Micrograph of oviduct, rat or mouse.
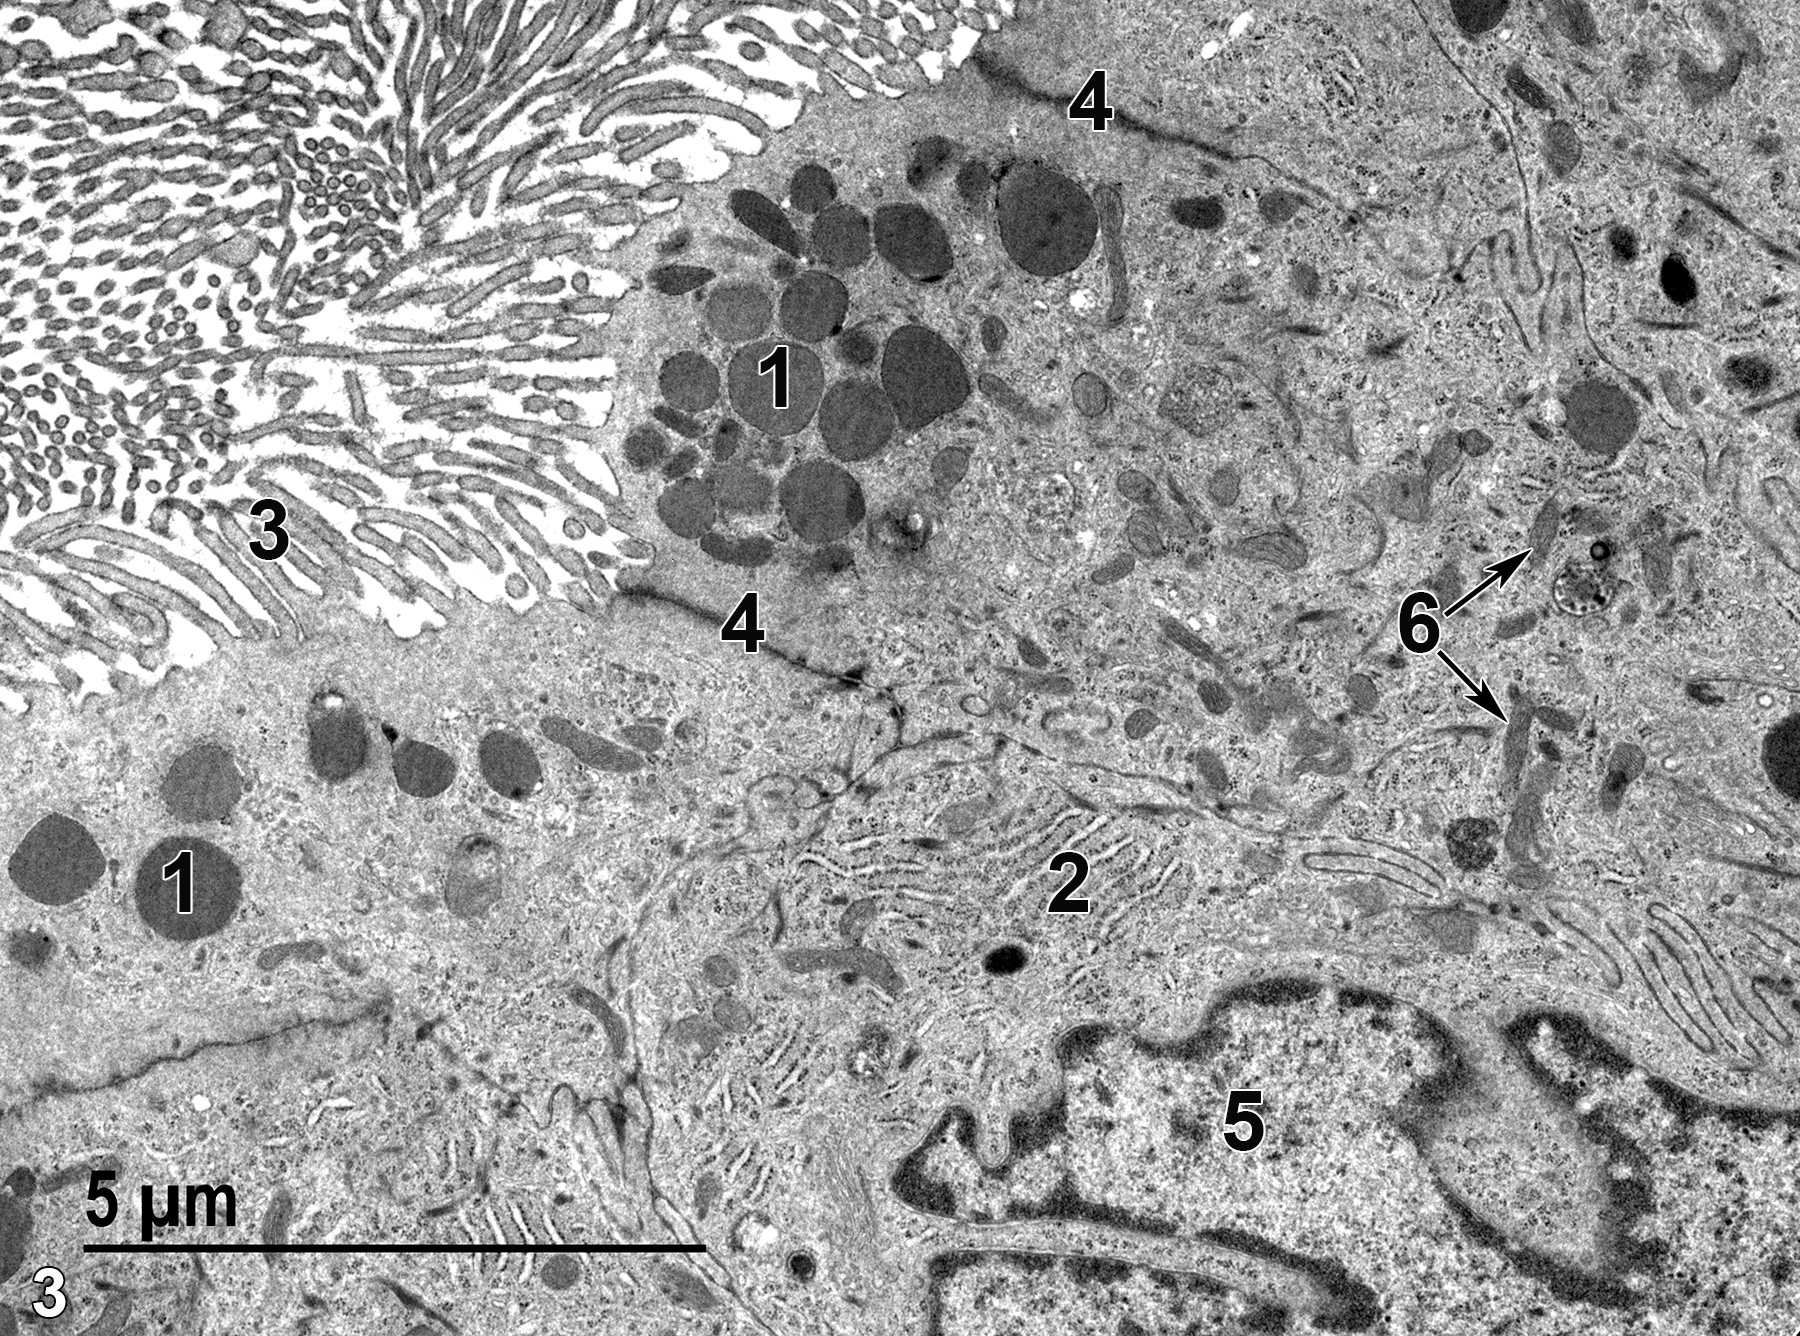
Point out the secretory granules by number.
1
